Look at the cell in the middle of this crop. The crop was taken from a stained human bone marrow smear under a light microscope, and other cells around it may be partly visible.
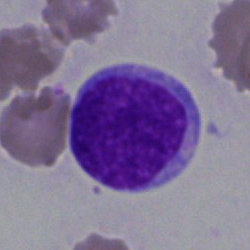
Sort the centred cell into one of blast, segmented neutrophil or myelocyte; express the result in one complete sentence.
The central element of this crop is a cell, namely a blast.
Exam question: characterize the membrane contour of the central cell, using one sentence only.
Smooth edges only, with no spikes, blebs, or other projections.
